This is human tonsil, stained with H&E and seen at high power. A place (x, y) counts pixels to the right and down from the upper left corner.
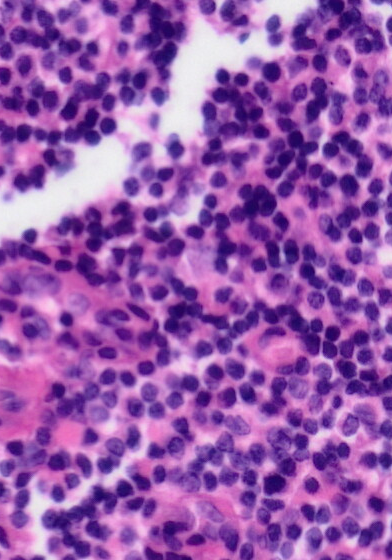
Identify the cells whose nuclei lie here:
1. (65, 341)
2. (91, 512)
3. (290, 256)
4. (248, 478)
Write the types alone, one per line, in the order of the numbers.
endothelial cell
small lymphocyte
small lymphocyte
small lymphocyte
